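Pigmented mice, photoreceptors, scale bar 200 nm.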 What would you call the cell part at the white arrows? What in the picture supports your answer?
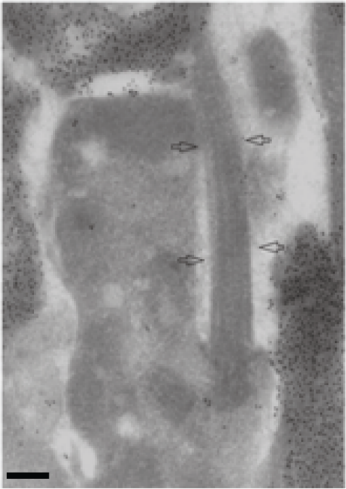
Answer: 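Connecting cilium. The arrows flank a long thin rod-like structure with parallel edges. The rod runs lengthwise through the cell between larger rounded profiles.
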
